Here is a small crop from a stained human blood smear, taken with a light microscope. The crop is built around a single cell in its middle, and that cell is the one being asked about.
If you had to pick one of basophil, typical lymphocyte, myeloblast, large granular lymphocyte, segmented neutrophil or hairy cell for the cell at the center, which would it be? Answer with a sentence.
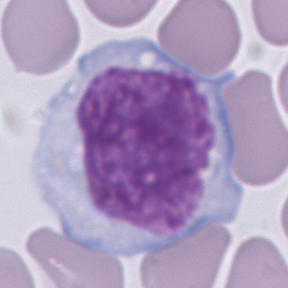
On this slide crop, the central cell is a myeloblast.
